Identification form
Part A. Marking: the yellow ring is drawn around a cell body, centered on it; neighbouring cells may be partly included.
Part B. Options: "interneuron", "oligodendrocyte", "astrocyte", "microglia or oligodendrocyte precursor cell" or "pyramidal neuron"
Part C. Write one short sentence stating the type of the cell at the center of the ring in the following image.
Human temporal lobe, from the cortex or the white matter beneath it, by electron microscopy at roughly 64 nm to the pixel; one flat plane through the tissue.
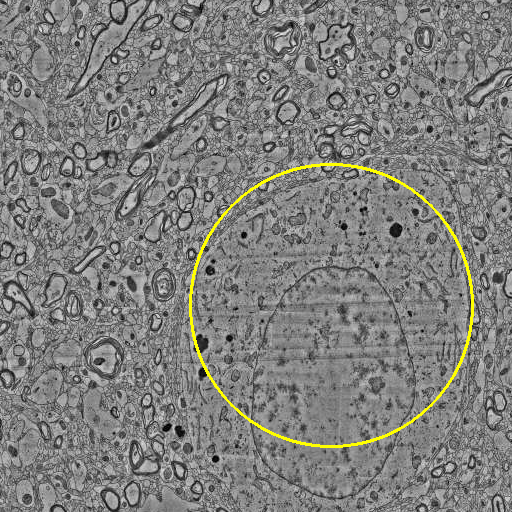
The center of the ring holds a pyramidal neuron.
